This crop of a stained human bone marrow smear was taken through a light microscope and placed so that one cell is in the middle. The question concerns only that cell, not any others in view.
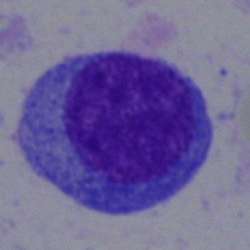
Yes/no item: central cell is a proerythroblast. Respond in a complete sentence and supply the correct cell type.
No, the middle cell is classified as a plasma cell instead of a proerythroblast.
